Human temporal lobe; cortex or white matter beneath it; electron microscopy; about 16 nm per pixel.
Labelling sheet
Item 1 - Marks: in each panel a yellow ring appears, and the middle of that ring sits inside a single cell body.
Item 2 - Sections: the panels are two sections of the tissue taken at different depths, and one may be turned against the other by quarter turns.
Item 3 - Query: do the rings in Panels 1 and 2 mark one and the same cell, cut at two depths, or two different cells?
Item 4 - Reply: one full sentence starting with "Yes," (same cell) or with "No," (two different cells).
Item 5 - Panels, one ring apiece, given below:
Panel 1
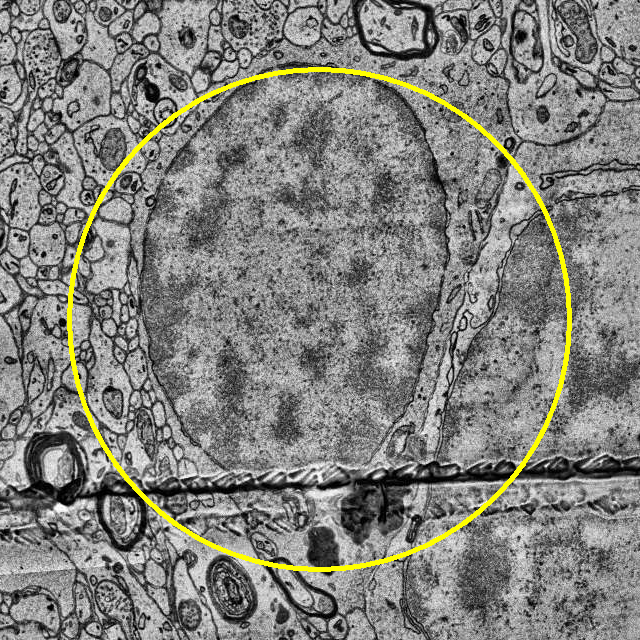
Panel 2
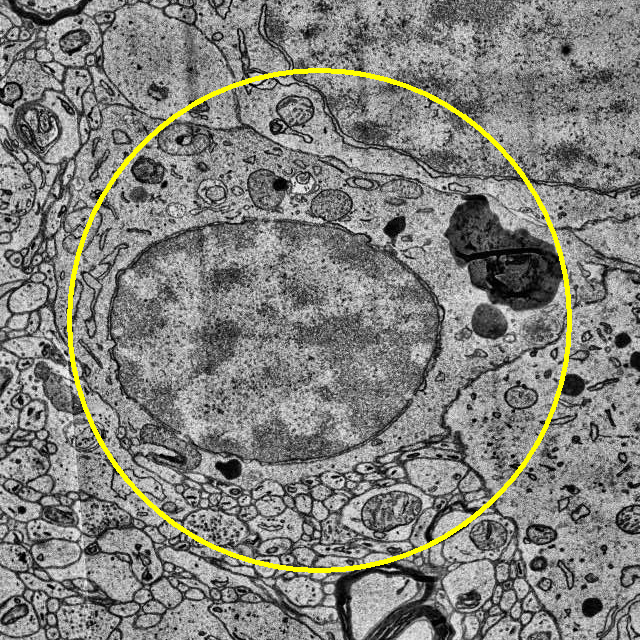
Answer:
Yes, one and the same cell lies under both rings.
